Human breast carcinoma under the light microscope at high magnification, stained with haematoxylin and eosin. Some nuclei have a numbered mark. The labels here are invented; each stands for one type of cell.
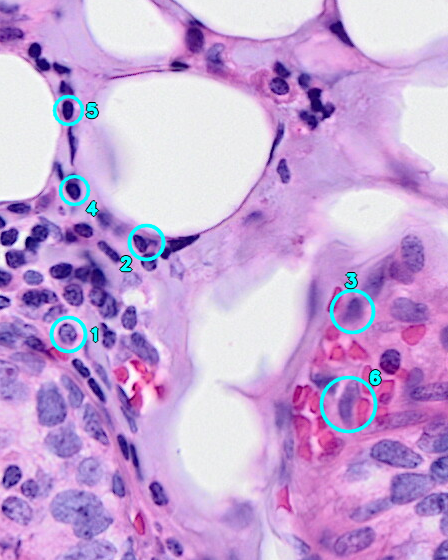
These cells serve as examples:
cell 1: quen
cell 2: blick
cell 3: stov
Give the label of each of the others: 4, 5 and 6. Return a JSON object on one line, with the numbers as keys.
{"4": "blick", "5": "blick", "6": "stov"}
